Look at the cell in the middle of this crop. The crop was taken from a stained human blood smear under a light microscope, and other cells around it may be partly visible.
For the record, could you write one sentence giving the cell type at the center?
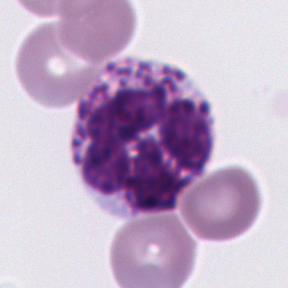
The cell of interest, located centrally, is a basophil.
